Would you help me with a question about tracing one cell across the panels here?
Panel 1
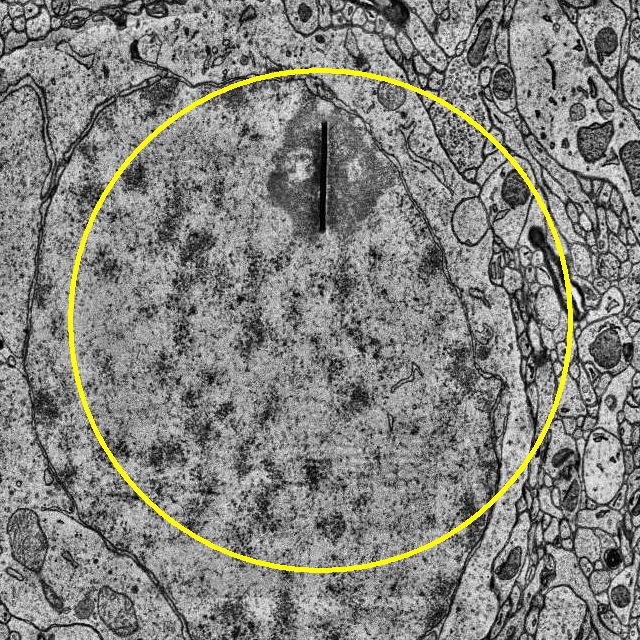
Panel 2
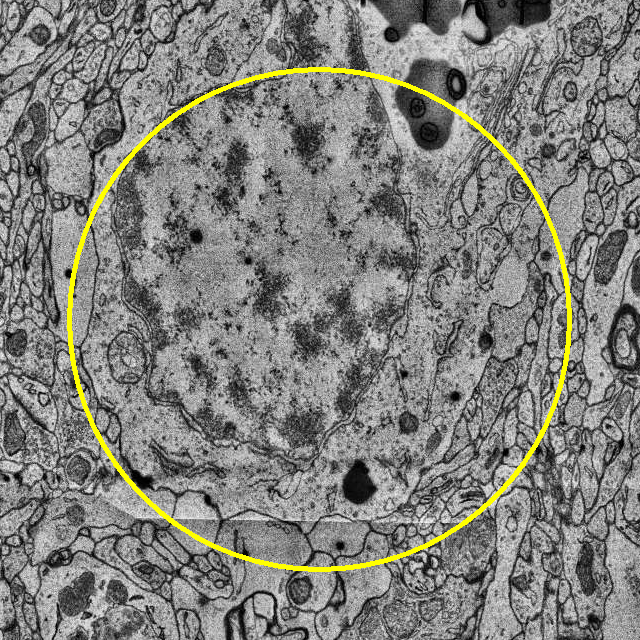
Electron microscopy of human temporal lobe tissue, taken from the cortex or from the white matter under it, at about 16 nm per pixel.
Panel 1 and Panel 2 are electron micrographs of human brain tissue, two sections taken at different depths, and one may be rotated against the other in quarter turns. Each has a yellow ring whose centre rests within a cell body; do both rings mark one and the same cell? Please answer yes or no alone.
no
